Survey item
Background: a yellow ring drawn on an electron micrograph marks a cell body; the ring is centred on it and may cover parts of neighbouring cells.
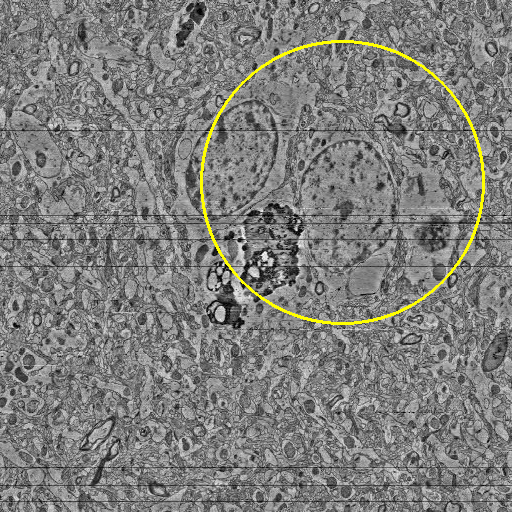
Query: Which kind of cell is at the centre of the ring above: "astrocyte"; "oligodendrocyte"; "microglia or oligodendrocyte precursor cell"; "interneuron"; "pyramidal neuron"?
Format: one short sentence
The cell in the middle of the ring is an astrocyte.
